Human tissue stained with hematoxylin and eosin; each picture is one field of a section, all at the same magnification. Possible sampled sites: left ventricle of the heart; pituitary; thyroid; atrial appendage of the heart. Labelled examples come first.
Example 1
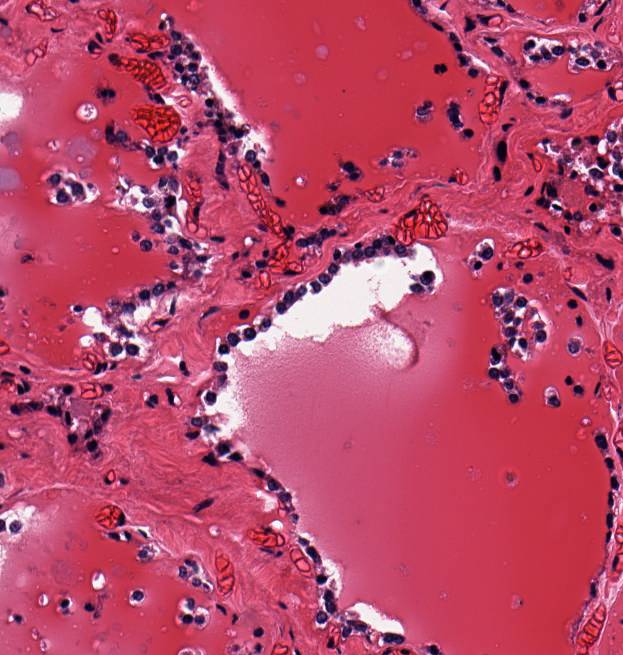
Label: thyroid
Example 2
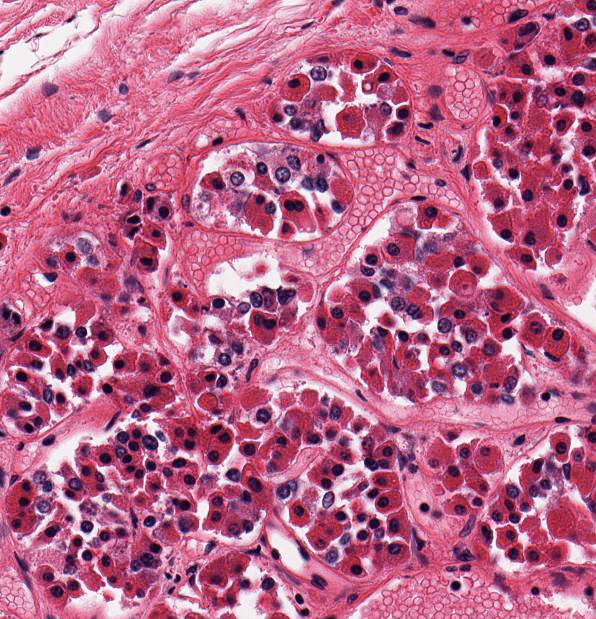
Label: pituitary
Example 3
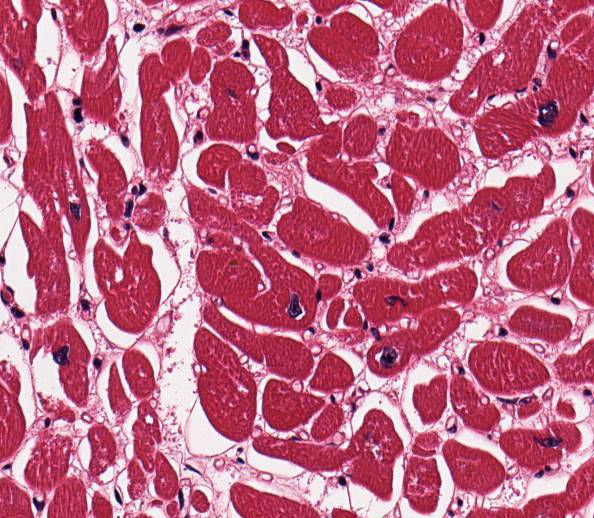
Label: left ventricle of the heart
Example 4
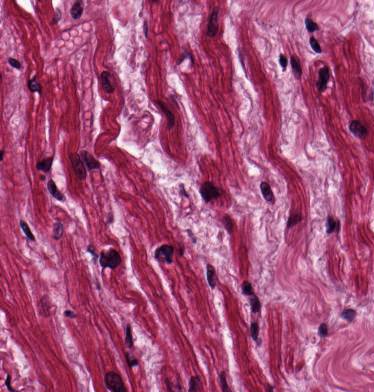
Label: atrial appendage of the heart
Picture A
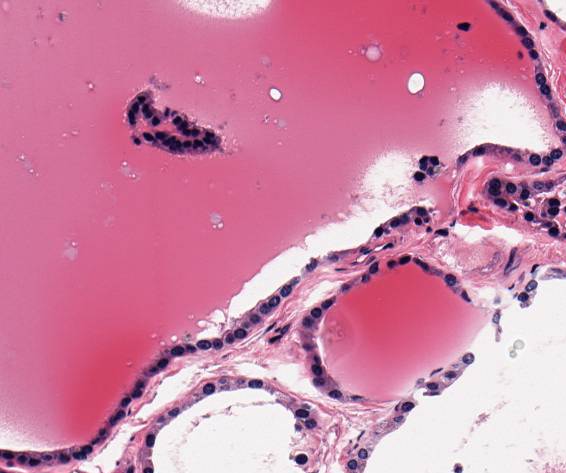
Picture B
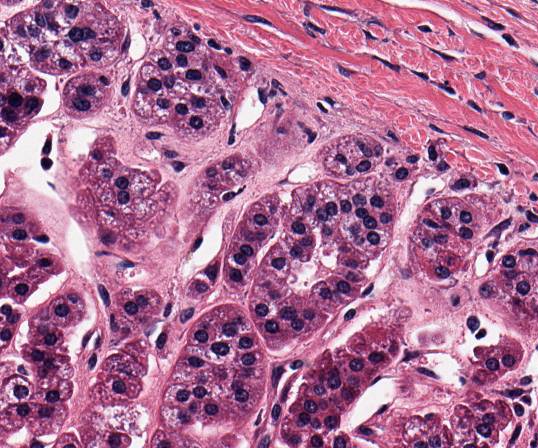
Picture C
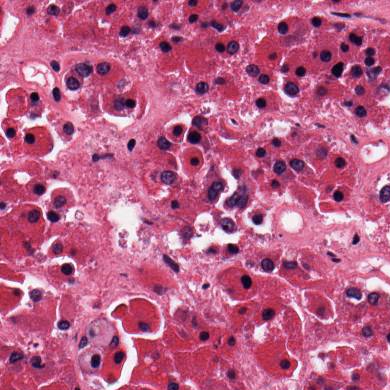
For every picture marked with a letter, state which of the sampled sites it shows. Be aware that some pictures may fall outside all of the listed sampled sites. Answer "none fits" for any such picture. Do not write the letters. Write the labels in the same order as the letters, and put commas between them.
thyroid, none fits, pituitary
